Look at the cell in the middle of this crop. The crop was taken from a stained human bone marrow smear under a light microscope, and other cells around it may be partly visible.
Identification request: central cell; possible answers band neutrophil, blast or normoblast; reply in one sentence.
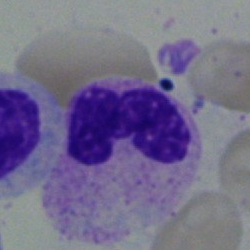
Classification of the middle cell gives a band neutrophil.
